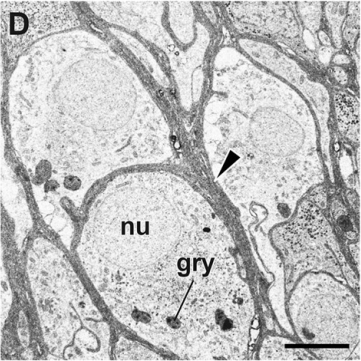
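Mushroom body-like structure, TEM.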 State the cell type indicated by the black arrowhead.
Glia.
